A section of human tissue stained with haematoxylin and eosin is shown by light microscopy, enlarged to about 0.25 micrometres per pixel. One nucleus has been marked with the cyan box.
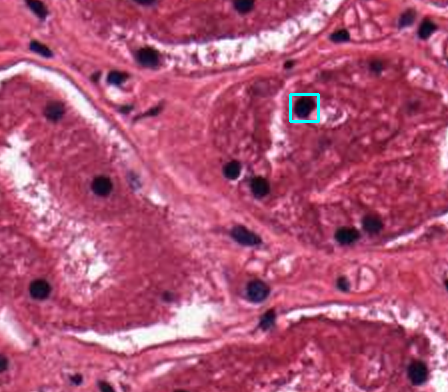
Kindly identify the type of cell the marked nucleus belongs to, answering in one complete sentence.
Within the picture, the marked nucleus belongs to a proximal tubule cell.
